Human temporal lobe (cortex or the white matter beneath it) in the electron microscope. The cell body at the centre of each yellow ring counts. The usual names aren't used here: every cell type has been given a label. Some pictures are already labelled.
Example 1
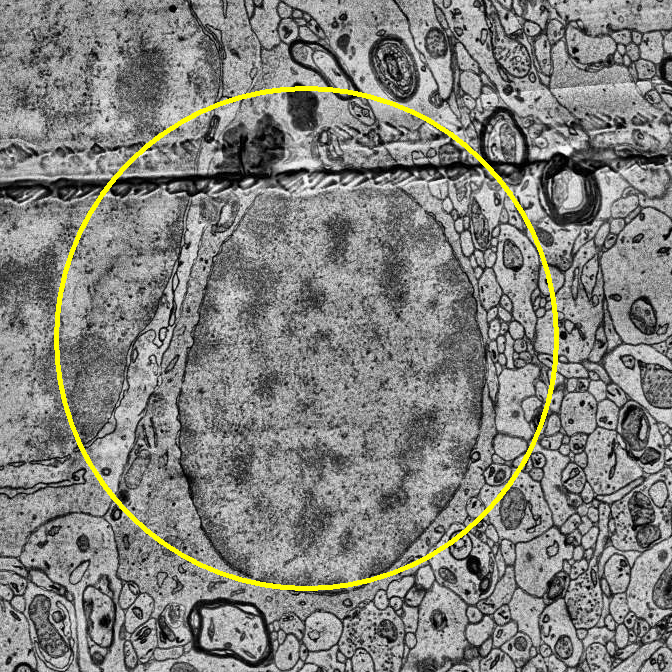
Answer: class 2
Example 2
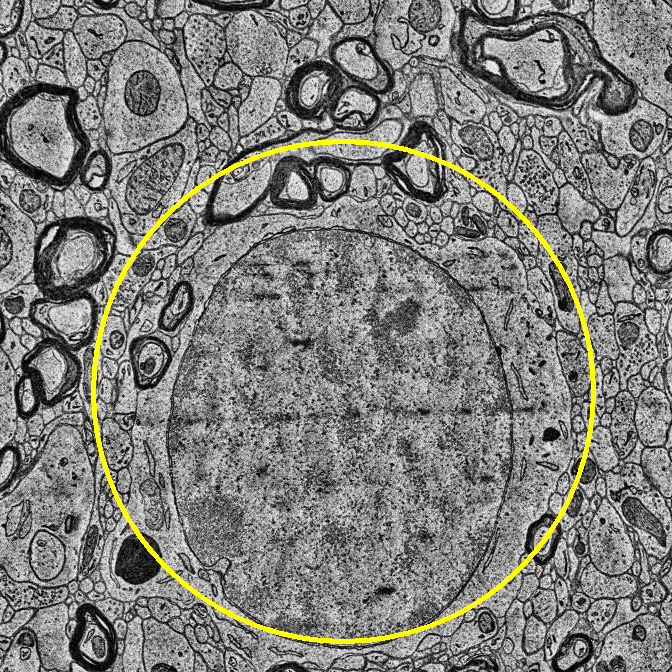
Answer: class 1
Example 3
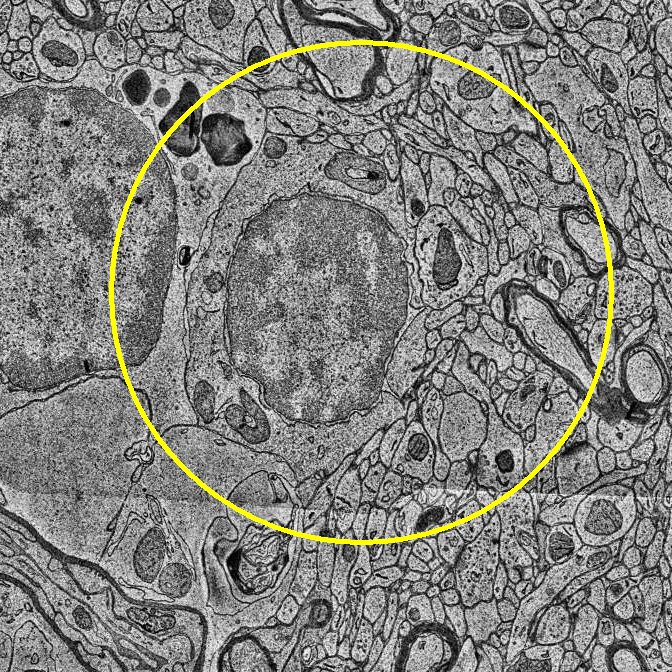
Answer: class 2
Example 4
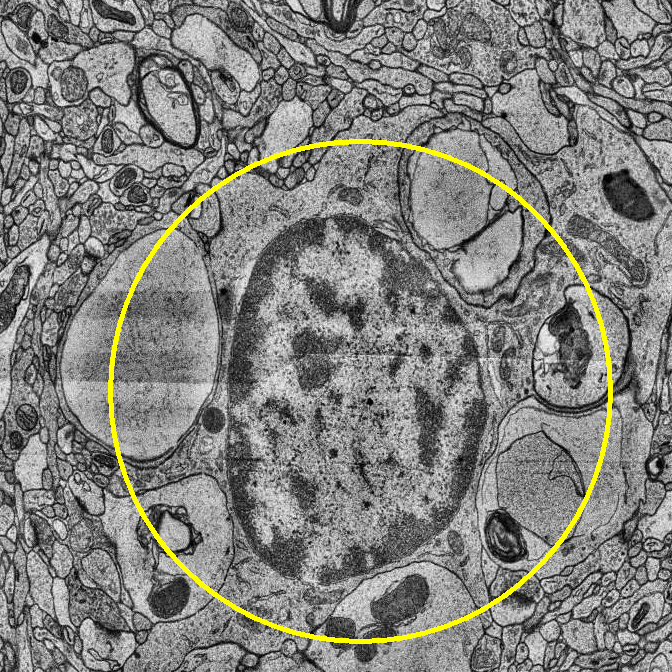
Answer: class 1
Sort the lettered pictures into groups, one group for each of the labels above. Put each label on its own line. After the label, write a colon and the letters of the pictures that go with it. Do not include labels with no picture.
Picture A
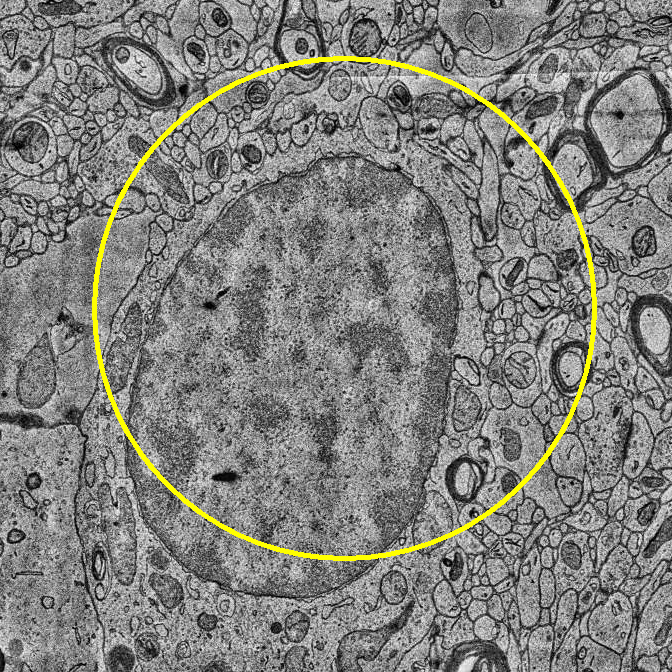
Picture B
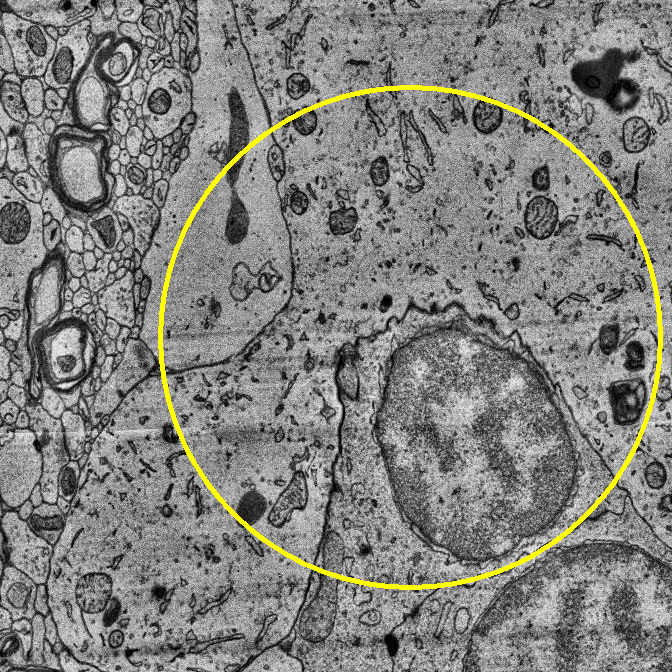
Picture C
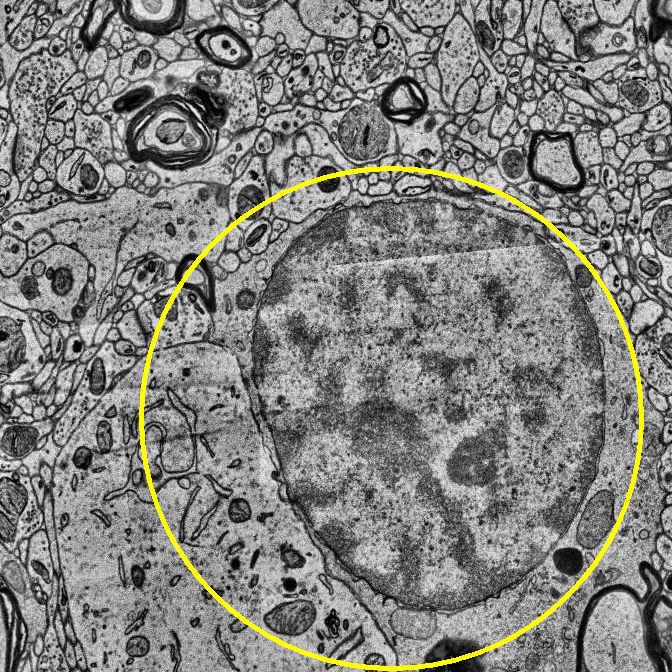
class 2: A, B, C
